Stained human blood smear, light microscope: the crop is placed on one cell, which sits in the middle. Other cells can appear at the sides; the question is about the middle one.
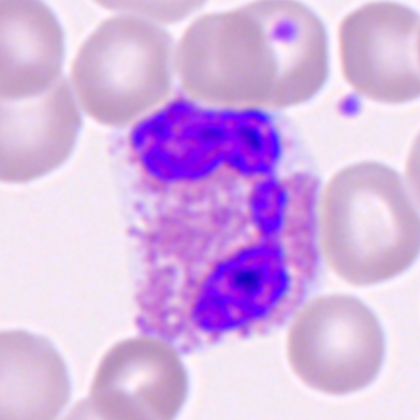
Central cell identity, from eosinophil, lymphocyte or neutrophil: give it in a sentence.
Here the cell in the middle is an eosinophil.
